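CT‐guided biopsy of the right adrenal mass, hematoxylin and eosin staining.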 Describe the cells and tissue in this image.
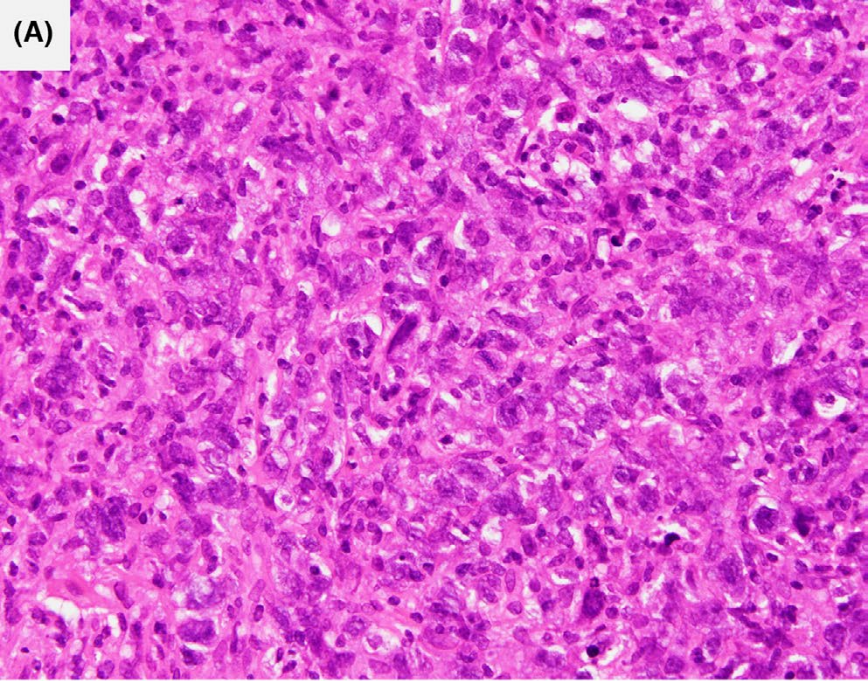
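This field shows a diffuse, solid proliferation of atypical tumour cells that completely replaces any recognisable normal tissue architecture. The cells lie in crowded sheets with no glands, cords or lobules, separated only by scant pink fibrillary stroma. Nuclear size and shape vary considerably, with scattered very large, bizarre and hyperchromatic nuclei among smaller ones. Small clear spaces and pale areas are dispersed between the cells.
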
